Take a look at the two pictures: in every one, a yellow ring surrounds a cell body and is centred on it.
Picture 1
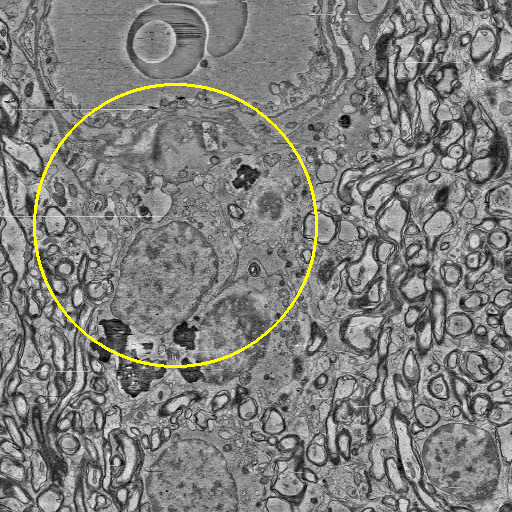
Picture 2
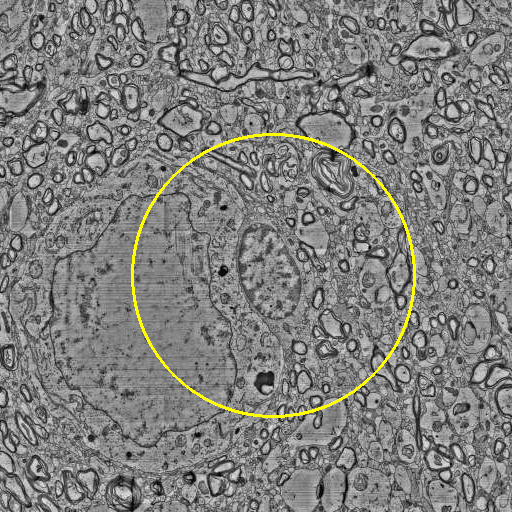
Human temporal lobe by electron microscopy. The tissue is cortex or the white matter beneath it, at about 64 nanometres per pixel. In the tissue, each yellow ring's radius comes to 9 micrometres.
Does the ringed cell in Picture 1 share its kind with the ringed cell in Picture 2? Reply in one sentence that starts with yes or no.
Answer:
Yes, the two centred cells, one per picture, are of one kind.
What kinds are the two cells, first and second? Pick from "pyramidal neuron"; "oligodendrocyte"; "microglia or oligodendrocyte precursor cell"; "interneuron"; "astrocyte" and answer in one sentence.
Each of the two rings is centred on an oligodendrocyte.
